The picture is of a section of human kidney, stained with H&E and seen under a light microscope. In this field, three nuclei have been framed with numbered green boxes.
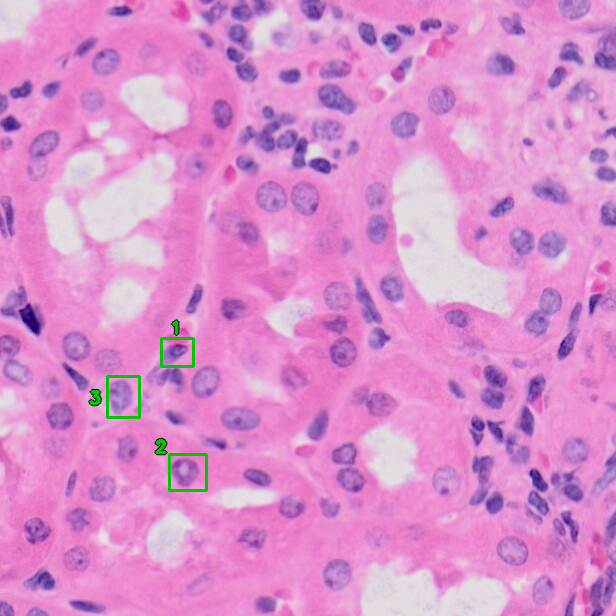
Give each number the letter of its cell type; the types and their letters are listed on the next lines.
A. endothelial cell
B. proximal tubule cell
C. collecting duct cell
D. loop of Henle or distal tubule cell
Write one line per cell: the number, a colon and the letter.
1: A
2: B
3: C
